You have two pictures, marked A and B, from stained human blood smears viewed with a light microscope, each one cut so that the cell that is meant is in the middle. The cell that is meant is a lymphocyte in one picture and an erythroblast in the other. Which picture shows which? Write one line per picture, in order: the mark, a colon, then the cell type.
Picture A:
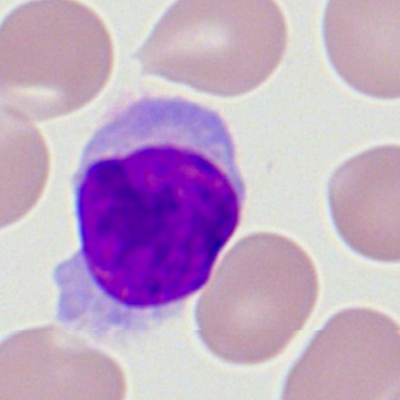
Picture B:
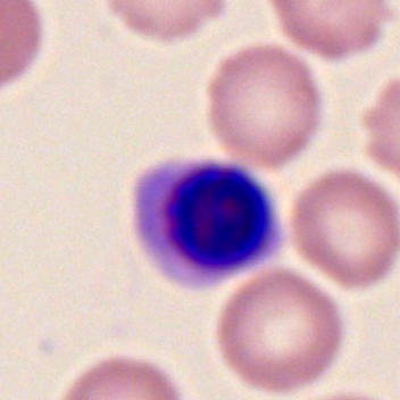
A: lymphocyte
B: erythroblast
